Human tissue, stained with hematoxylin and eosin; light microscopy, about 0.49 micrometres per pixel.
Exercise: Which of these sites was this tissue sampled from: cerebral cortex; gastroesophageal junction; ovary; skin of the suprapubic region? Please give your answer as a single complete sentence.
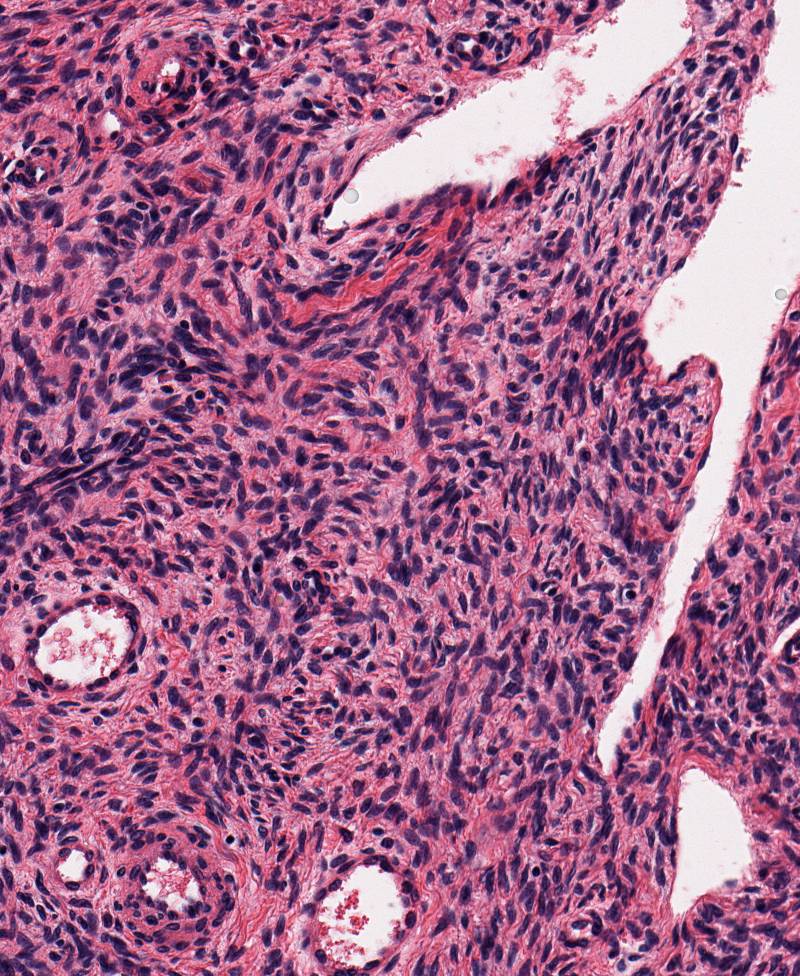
This is tissue that was sampled from the ovary.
